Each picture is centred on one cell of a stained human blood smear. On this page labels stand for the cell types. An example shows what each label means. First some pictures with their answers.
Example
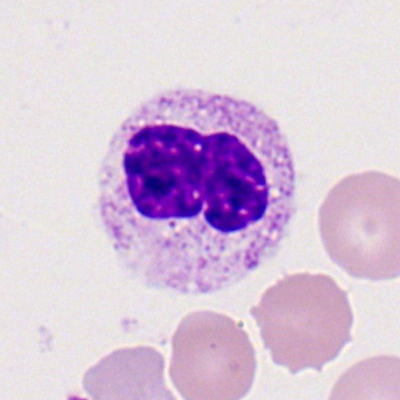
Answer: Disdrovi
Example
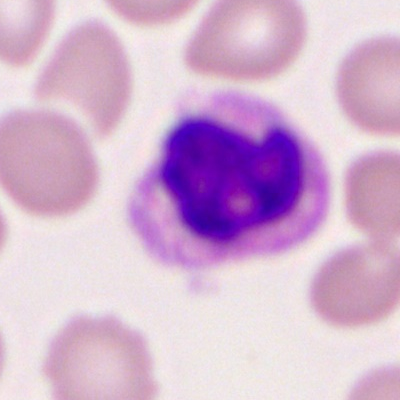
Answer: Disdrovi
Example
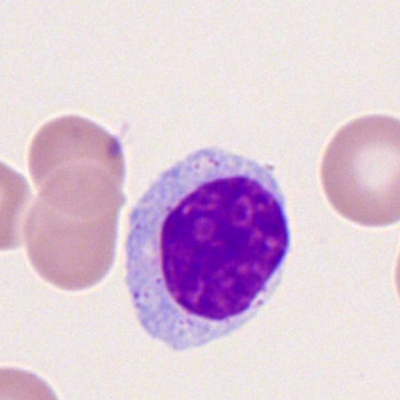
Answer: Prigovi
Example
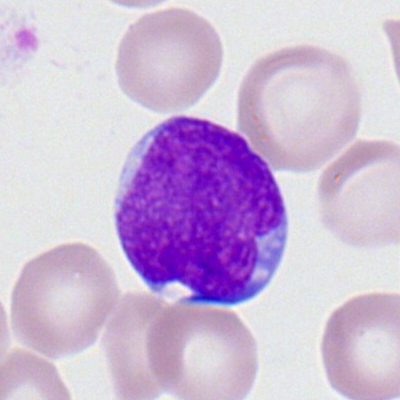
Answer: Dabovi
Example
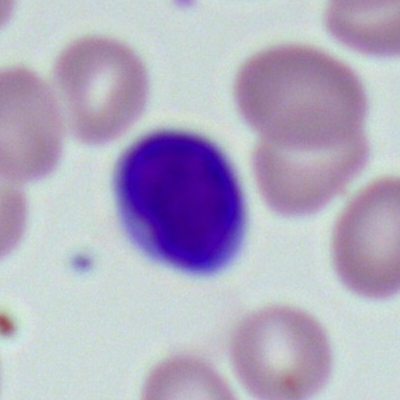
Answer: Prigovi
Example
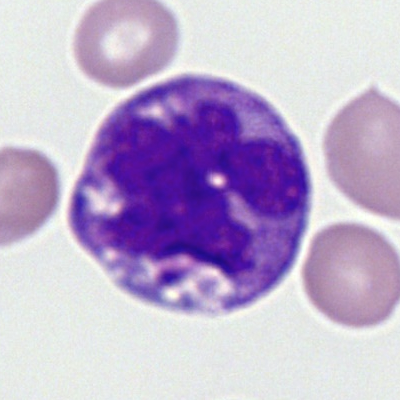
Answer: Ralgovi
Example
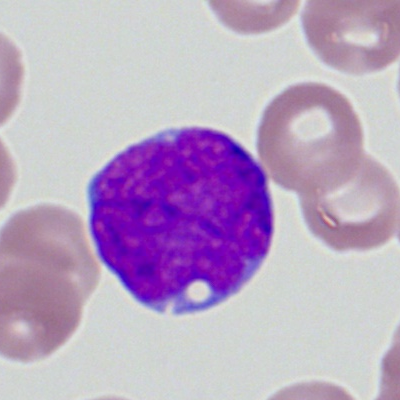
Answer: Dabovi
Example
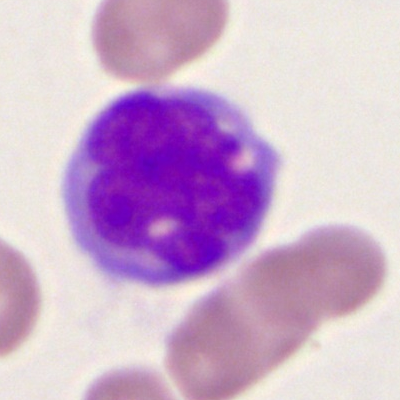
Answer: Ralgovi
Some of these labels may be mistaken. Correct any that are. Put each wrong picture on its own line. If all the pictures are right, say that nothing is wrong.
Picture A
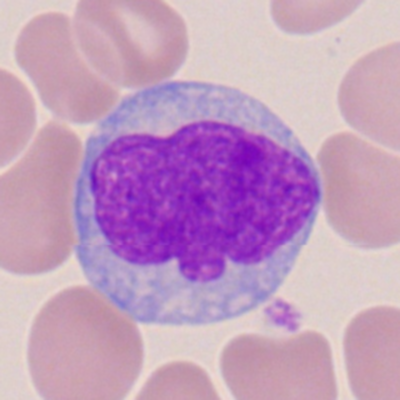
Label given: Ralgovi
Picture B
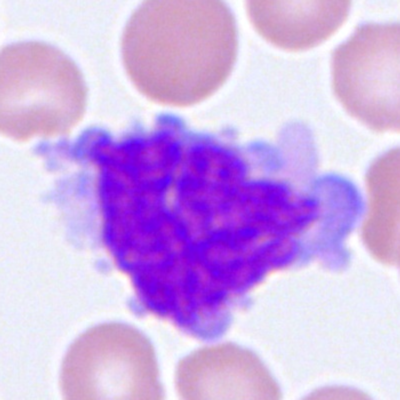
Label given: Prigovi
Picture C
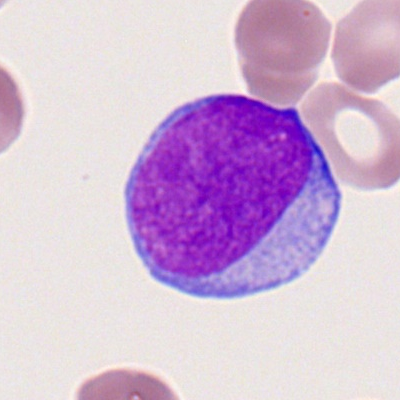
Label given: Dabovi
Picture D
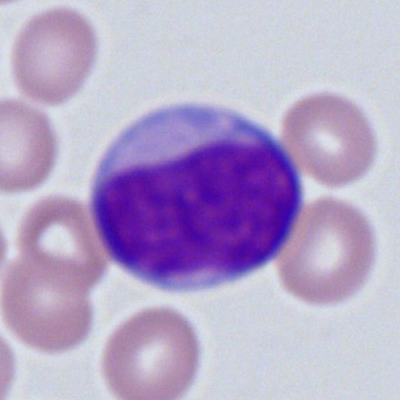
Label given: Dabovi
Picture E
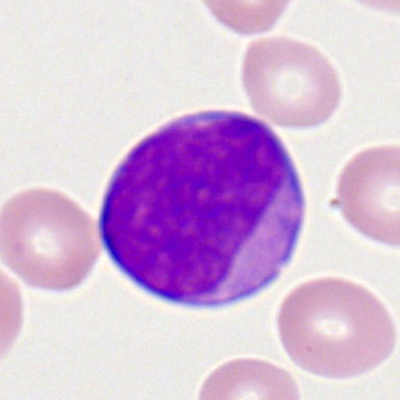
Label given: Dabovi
B should be Ralgovi, not Prigovi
